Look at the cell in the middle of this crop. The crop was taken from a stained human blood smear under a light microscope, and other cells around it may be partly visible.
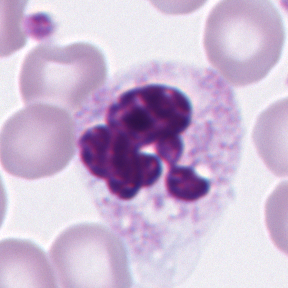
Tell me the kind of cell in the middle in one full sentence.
The centrally located cell in the crop is a segmented neutrophil.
